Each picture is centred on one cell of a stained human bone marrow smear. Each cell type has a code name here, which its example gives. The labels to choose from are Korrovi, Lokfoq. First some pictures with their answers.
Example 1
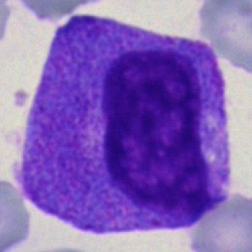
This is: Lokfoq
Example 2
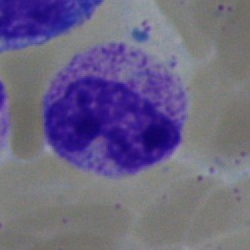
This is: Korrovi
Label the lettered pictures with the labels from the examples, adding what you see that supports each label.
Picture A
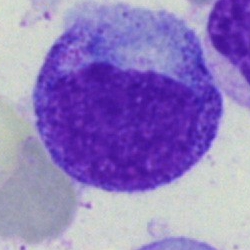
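Lokfoq: The chromatin is finely granular rather than coarsely clumped.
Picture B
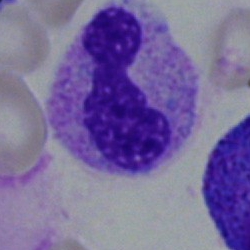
Korrovi: The chromatin is dark purple and coarsely clumped.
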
